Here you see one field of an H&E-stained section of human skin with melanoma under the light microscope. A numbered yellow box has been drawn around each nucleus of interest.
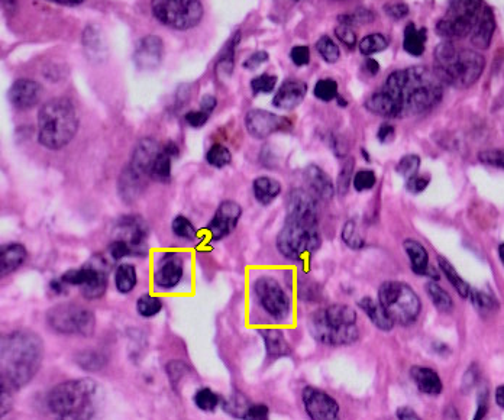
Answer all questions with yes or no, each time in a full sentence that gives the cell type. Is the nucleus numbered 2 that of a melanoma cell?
No, the cell identified by number 2 is a lymphocyte, not a melanoma cell.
